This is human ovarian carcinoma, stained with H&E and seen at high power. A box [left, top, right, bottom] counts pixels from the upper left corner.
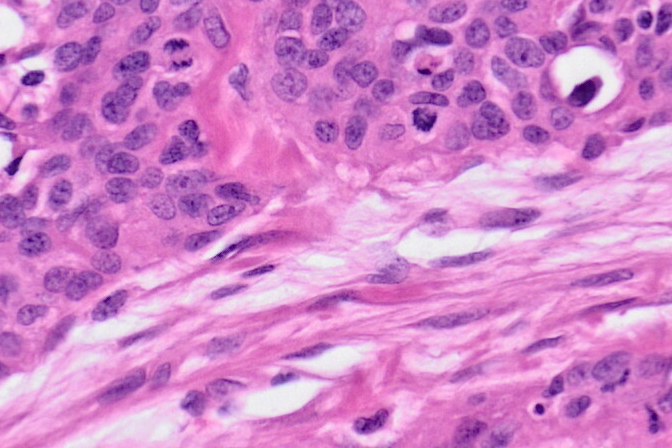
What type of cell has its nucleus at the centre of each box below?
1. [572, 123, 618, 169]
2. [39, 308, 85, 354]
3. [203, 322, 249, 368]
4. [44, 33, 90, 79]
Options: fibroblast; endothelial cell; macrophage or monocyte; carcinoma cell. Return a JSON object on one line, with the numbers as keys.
{"1": "macrophage or monocyte", "2": "fibroblast", "3": "fibroblast", "4": "carcinoma cell"}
